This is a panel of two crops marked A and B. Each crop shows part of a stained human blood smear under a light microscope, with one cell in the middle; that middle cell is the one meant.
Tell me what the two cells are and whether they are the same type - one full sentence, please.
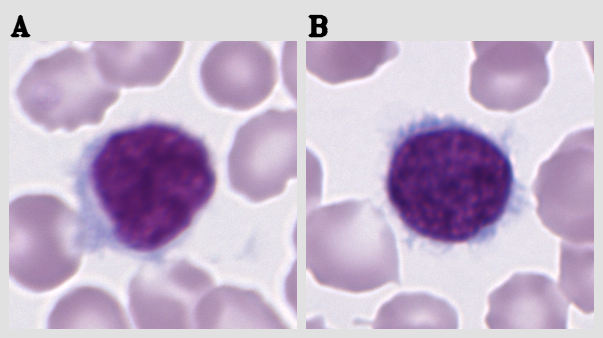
Yes, the crops both have hairy cells in the middle.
